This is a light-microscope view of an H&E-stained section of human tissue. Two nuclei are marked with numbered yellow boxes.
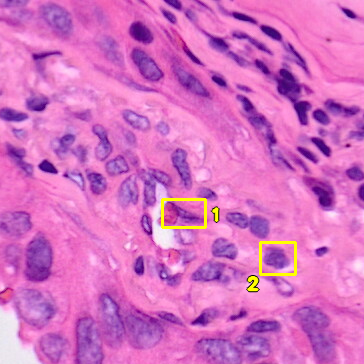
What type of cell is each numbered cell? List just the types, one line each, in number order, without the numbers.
endothelial cell
lymphocyte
